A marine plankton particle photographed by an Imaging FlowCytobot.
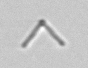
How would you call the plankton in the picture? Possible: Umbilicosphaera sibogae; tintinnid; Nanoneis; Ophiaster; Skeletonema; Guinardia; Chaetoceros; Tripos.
I would call it Nanoneis.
